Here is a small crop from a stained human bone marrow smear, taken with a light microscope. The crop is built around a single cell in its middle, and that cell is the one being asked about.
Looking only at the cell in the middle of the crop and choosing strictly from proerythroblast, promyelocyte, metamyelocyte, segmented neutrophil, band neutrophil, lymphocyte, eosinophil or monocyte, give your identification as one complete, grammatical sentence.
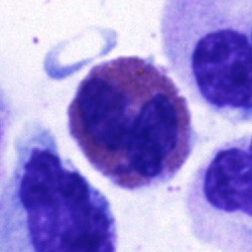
Among the cells in view, the one in the middle is an eosinophil.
